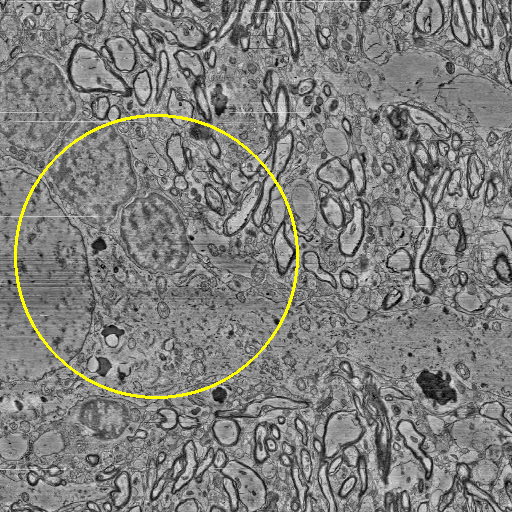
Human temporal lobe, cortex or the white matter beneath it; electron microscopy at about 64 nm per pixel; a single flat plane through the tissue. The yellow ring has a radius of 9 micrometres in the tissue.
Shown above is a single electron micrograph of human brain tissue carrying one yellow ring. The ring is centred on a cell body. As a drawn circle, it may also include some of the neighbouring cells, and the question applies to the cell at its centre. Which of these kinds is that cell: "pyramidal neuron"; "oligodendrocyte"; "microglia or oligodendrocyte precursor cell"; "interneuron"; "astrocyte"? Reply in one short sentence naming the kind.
The cell marked by the ring is an oligodendrocyte.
